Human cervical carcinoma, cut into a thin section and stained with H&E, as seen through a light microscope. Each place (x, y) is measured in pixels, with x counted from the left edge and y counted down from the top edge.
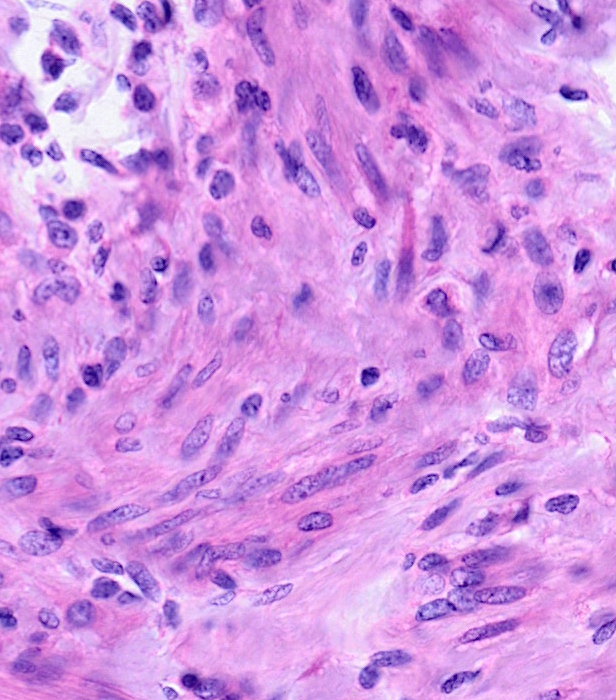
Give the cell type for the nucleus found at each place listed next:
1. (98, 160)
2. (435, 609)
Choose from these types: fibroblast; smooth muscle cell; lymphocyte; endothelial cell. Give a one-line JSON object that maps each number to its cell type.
{"1": "lymphocyte", "2": "endothelial cell"}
